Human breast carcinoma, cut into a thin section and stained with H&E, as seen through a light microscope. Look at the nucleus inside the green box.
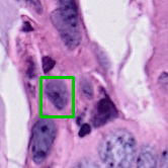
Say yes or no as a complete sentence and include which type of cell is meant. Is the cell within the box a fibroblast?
No, the cell within the box is identified as a carcinoma cell and not as a fibroblast.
